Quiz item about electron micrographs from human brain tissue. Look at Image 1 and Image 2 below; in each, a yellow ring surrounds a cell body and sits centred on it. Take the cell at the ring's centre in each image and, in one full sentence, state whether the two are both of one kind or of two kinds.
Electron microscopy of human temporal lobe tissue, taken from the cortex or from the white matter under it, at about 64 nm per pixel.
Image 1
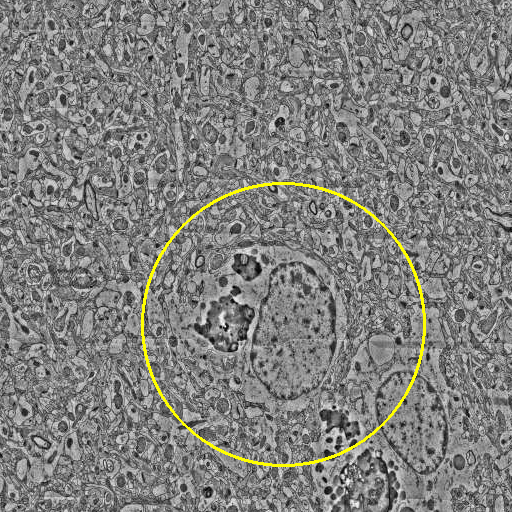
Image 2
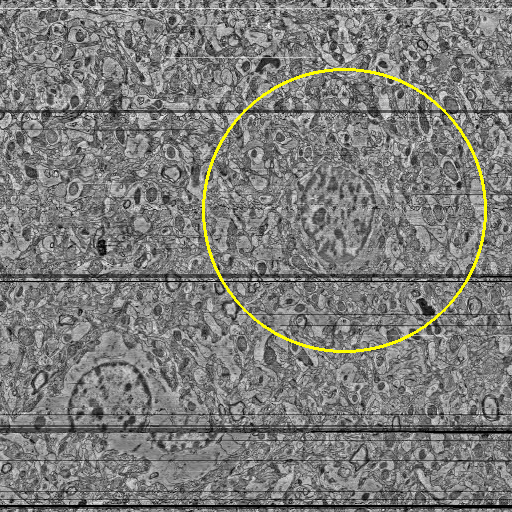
In Image 1 and Image 2, the cells at the ring centres are of two kinds.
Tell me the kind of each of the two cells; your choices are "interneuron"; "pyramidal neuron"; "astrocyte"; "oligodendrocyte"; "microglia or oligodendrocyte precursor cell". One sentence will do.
The ringed cell is an astrocyte in the first picture and an oligodendrocyte in the second picture.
